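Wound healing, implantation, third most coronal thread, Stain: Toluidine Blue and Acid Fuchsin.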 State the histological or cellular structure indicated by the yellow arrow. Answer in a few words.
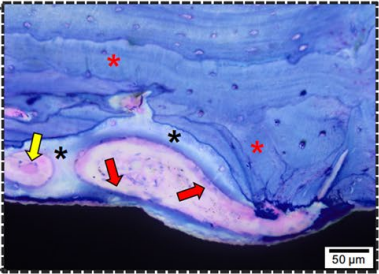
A: Vessels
